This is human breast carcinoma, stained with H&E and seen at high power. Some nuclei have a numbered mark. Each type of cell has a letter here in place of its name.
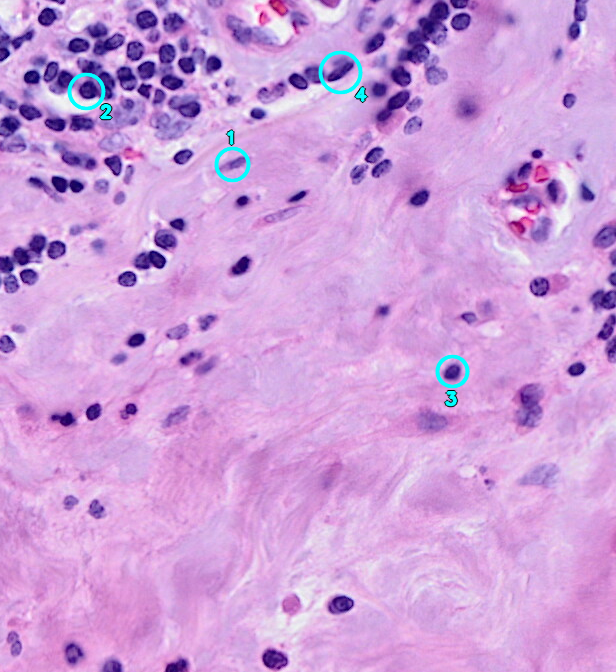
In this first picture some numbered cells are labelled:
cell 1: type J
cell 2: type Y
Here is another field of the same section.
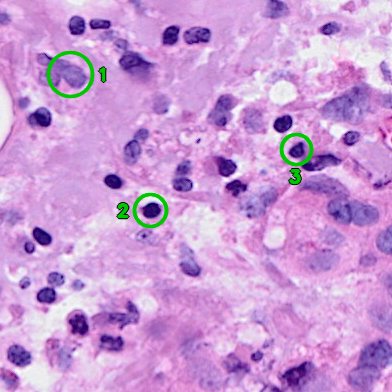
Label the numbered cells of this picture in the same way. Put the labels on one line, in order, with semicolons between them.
type J; type Y; type Y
